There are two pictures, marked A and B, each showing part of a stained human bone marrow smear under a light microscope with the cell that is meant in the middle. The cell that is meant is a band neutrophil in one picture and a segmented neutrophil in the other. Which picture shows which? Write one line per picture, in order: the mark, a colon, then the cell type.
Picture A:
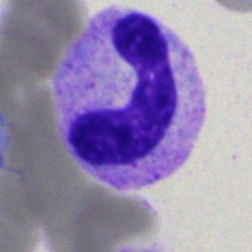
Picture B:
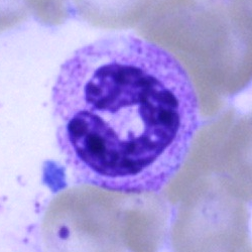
A: band neutrophil
B: segmented neutrophil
